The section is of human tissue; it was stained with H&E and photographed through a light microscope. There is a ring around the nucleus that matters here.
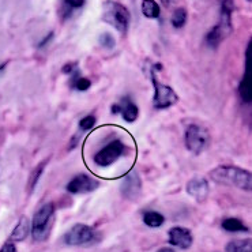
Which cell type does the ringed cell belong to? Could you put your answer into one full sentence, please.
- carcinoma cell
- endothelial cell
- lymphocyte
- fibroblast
In this tissue section, the ringed cell is to be classed as a lymphocyte.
